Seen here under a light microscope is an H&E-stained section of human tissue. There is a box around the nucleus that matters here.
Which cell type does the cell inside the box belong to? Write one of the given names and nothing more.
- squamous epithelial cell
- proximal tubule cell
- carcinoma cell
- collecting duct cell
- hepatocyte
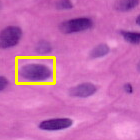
squamous epithelial cell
